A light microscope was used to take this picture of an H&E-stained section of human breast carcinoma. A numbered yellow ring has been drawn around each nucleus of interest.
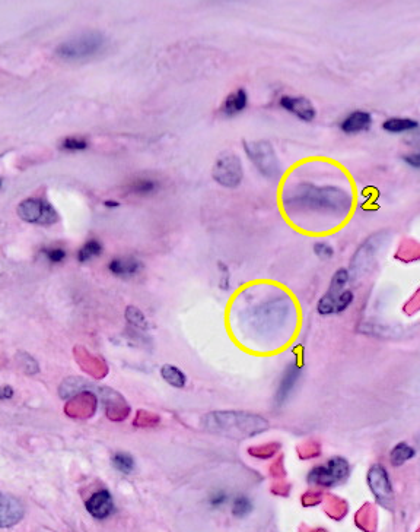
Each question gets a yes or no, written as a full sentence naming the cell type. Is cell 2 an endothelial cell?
Yes, it is an endothelial cell that number 2 identifies.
